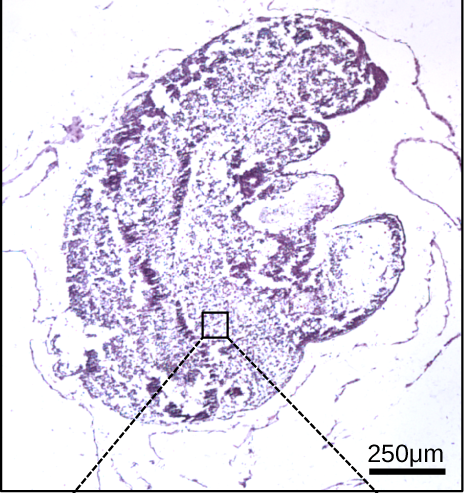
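No recognizable organs are present. Paler, looser areas run between the denser areas. Thin, wavy pink-purple membranes surround the mass at a distance. Beyond these membranes there is clear space.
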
